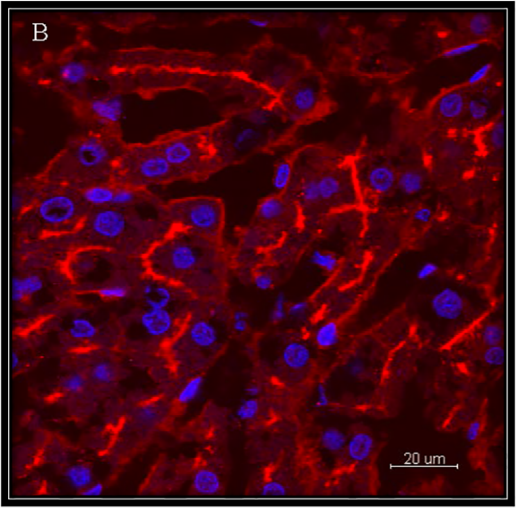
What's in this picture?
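Liver tissue with cords of hepatocytes, large polygonal cells with round, centrally placed blue nuclei, some cells with two nuclei, and a faint red cytoplasm. Between the cords run dark, empty, irregular channels, along which lie small elongated nuclei. The brightest red marks thin, branching lines that run between neighbouring hepatocytes within the cords, forming a network of short segments; fainter red outlines the cell borders.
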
